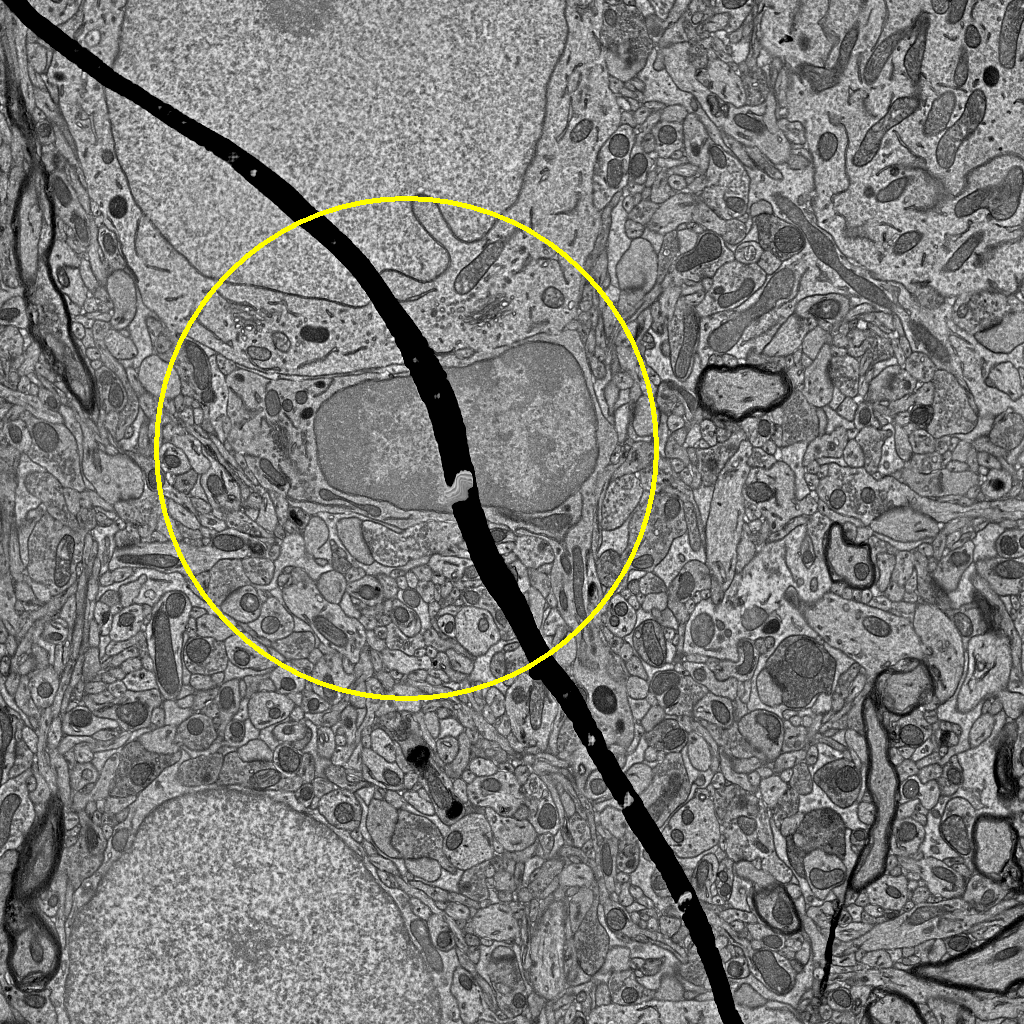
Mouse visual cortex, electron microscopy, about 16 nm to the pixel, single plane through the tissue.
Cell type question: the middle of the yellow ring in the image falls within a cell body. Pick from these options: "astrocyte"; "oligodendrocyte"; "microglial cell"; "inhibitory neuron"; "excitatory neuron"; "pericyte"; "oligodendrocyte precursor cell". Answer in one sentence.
The cell body at the center of the ring belongs to a microglial cell.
